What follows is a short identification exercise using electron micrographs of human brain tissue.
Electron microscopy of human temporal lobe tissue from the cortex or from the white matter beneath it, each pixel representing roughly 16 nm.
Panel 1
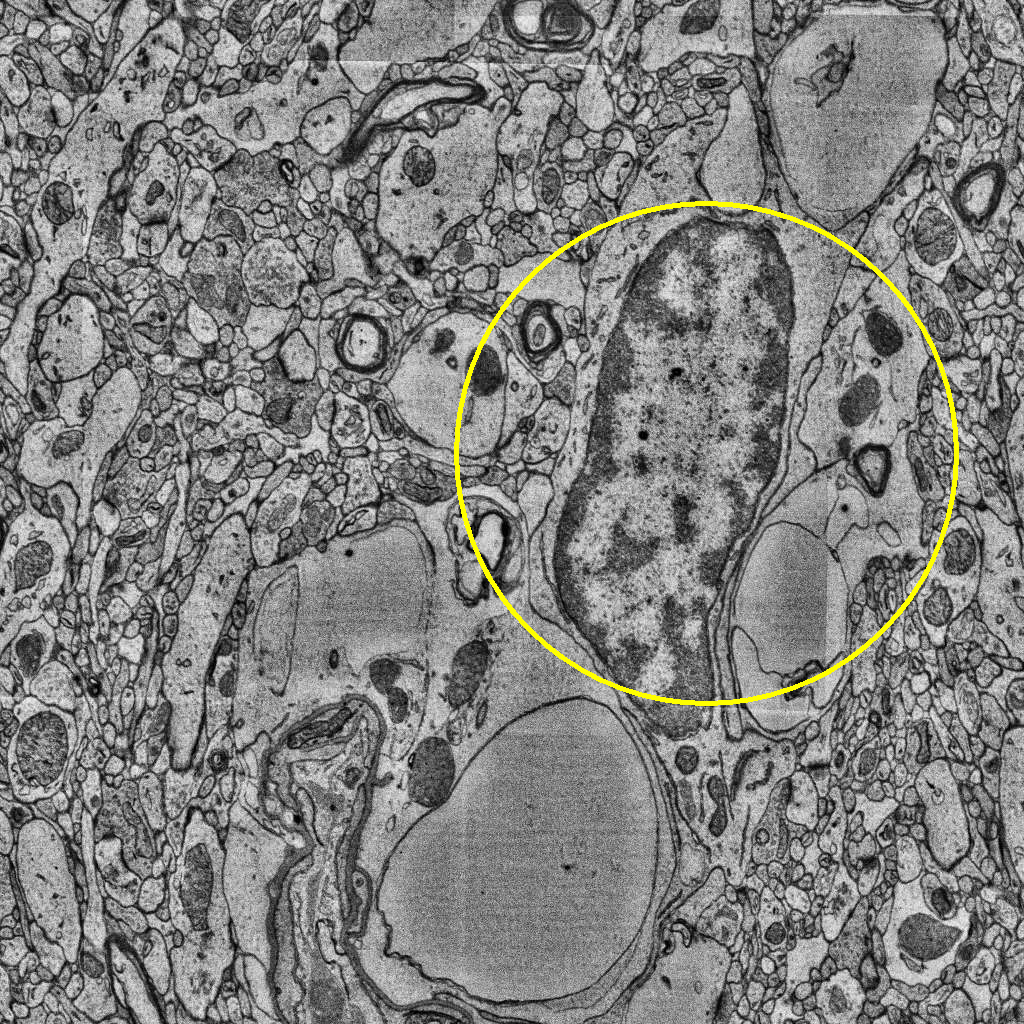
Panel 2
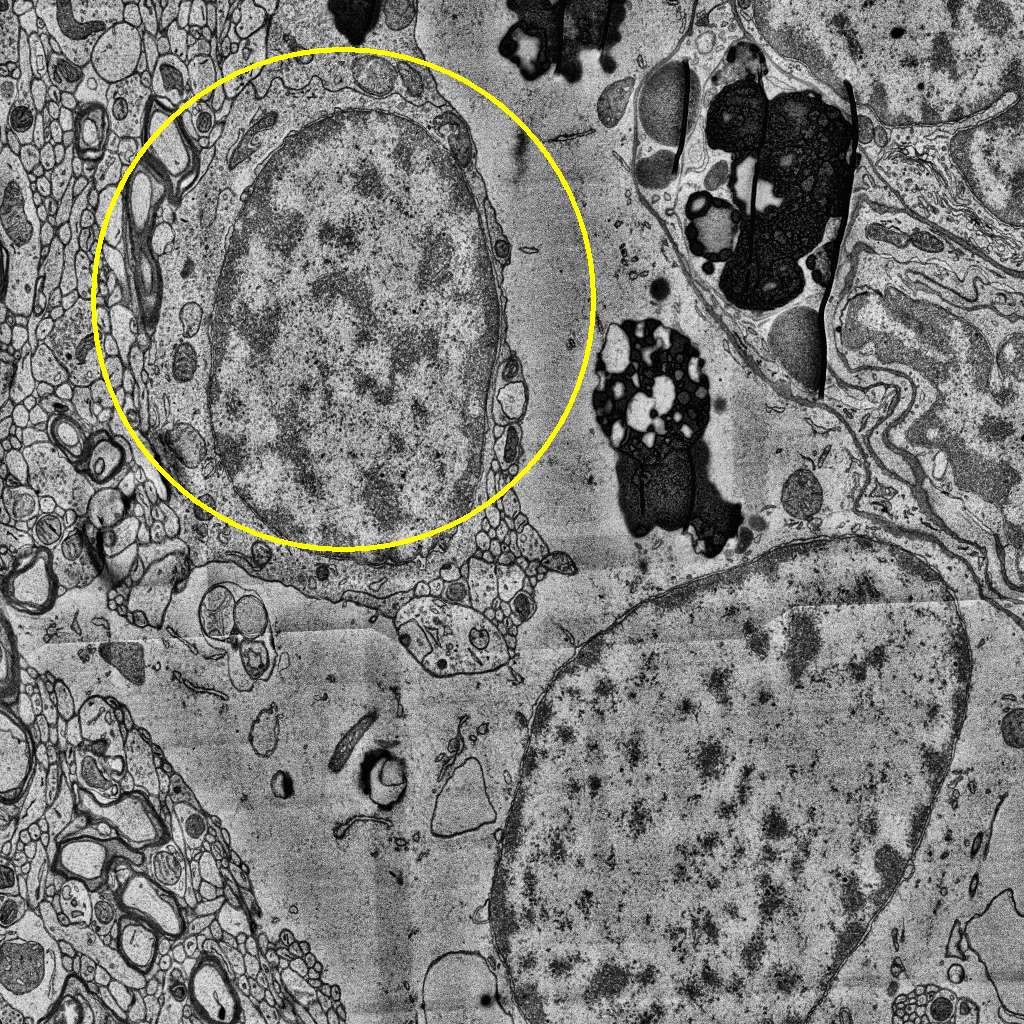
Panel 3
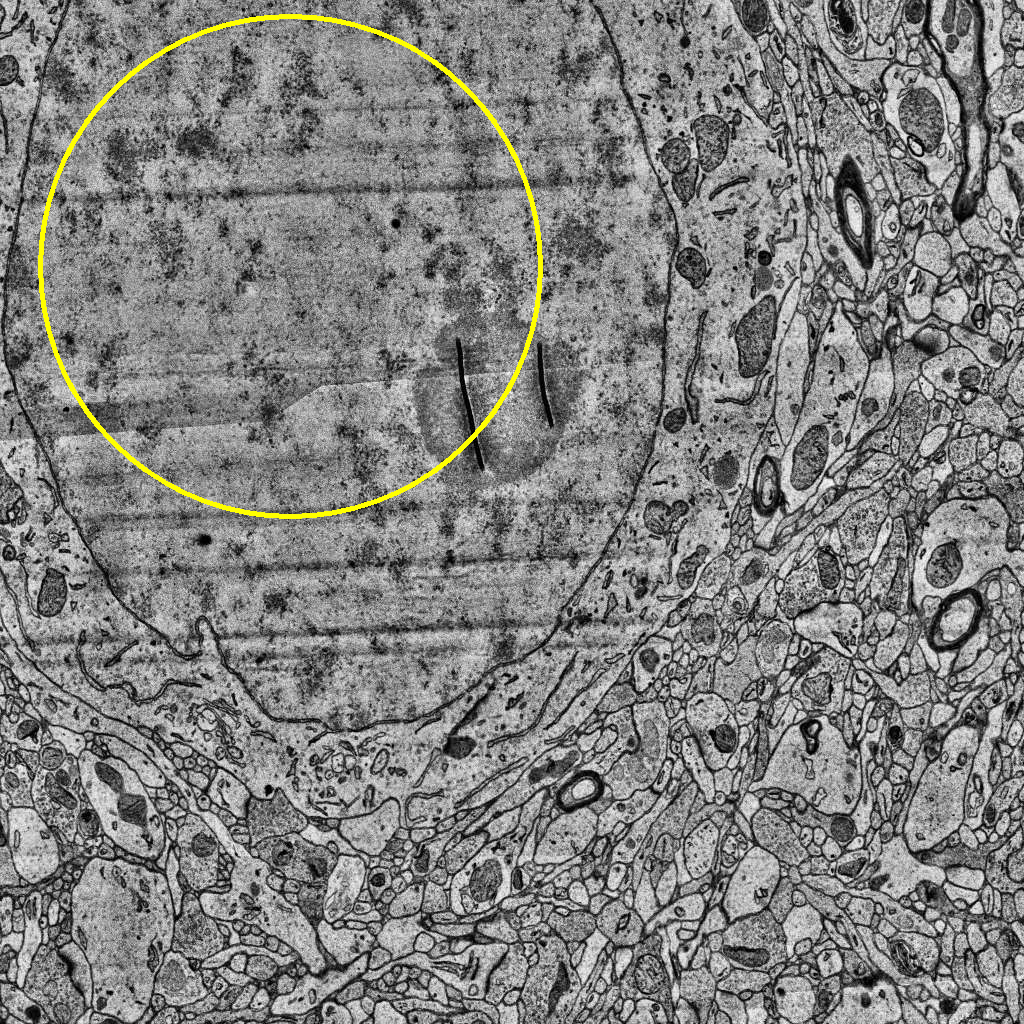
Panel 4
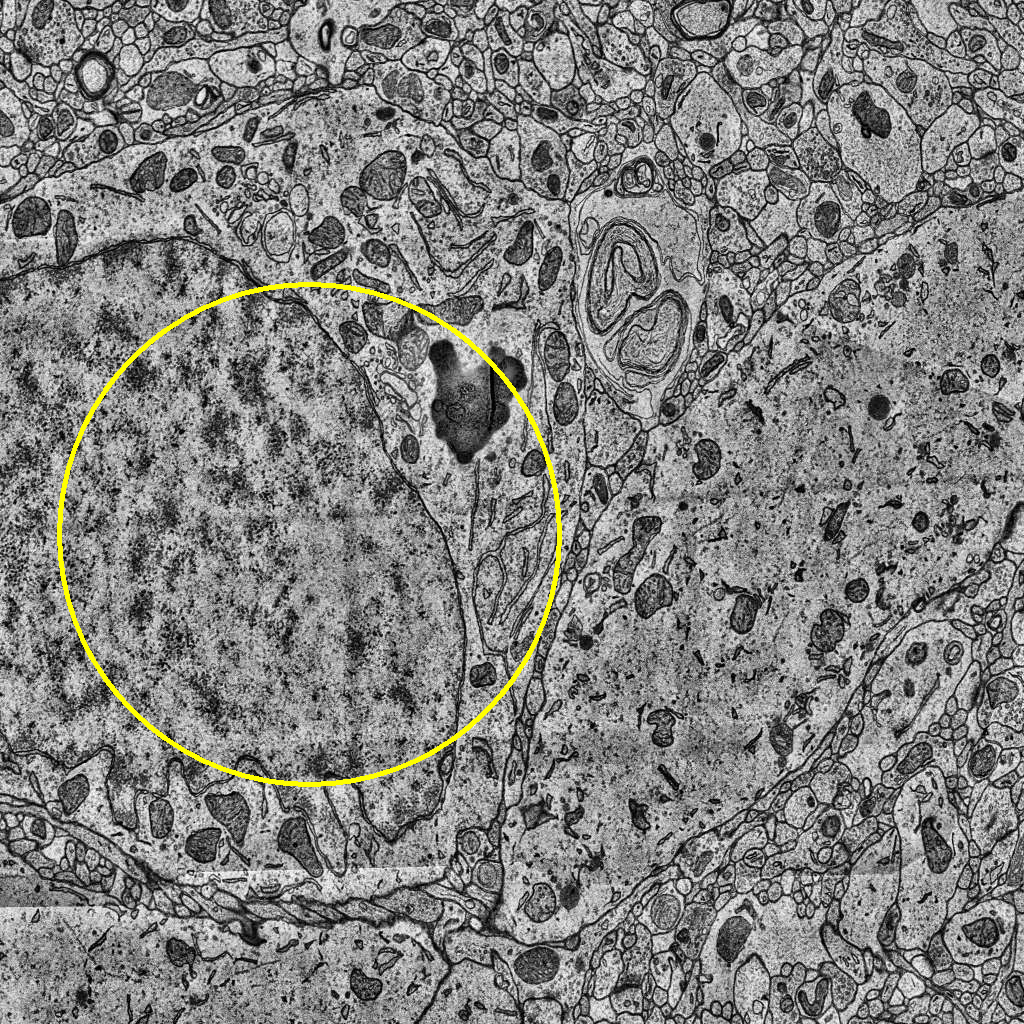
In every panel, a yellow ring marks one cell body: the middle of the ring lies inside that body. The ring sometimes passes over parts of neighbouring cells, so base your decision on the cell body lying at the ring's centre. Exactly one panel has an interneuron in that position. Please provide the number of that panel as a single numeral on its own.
4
